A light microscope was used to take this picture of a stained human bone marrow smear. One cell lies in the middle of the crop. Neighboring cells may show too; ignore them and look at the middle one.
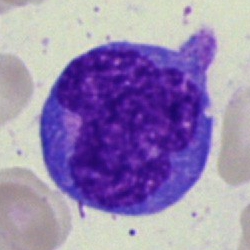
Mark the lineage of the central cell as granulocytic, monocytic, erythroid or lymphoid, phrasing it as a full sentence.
The monocytic lineage includes the cell at the center of the crop.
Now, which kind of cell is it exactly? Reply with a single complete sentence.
The target cell in the middle of the crop is a monocyte.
